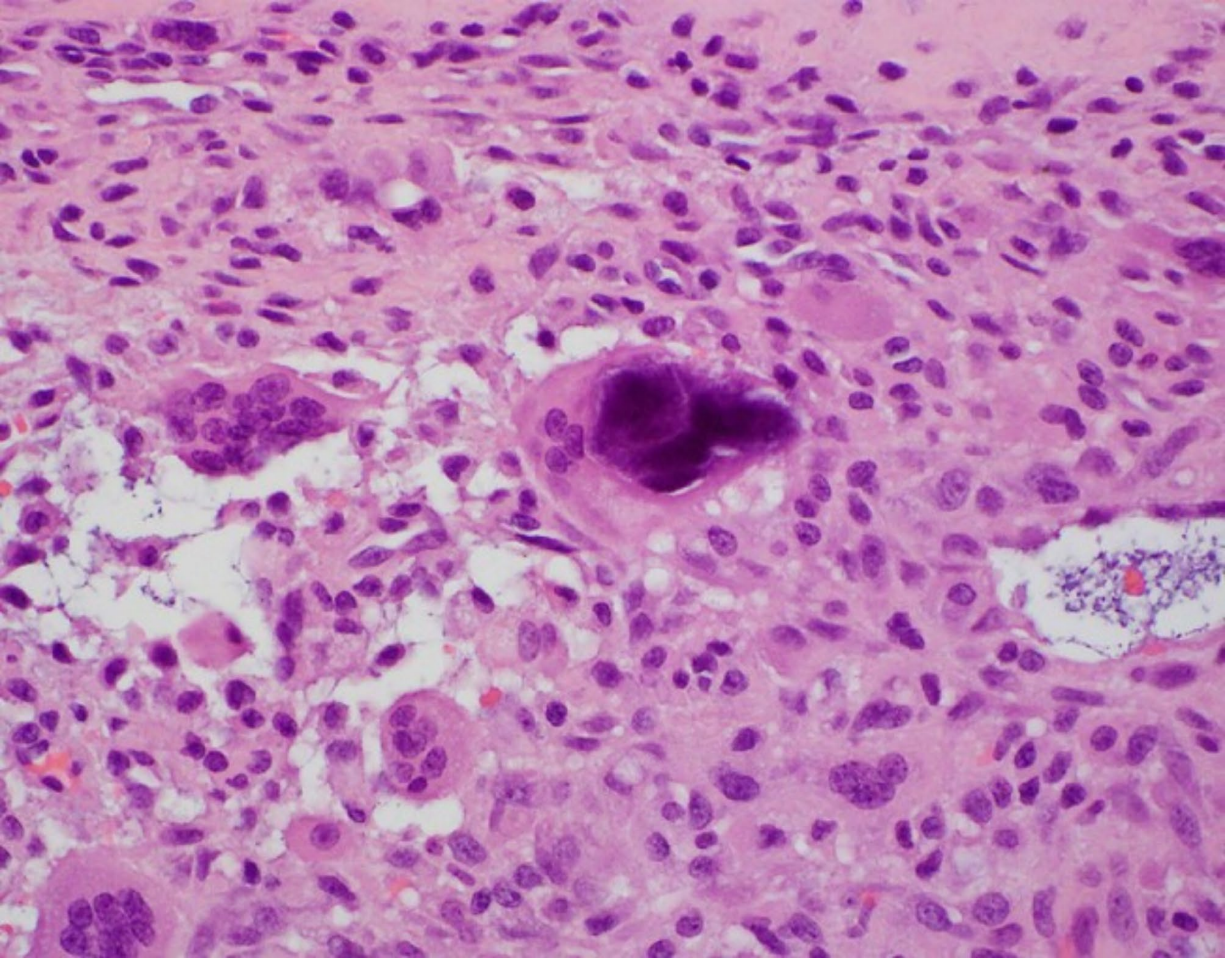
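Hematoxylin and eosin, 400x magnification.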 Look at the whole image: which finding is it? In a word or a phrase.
giant cell reaction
